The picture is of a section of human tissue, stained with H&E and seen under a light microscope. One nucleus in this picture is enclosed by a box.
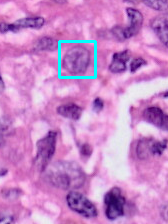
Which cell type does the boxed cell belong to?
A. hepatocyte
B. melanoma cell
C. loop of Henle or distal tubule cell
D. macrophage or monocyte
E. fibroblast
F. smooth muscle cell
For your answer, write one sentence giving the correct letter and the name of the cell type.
Option B is the one to take: the boxed cell is a melanoma cell.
